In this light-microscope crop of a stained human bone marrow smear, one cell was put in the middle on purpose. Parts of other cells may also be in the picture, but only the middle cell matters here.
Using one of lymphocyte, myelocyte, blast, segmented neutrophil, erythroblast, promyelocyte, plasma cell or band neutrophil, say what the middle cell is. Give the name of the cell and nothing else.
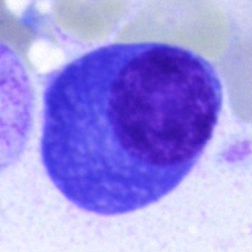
plasma cell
